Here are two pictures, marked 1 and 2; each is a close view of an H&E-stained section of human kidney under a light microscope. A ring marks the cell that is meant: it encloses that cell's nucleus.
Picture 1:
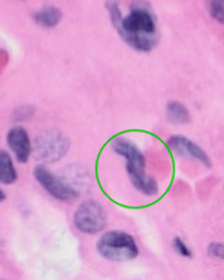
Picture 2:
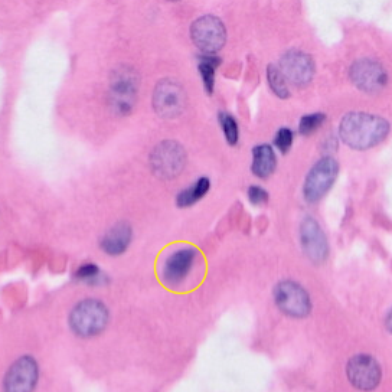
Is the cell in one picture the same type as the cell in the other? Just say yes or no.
yes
